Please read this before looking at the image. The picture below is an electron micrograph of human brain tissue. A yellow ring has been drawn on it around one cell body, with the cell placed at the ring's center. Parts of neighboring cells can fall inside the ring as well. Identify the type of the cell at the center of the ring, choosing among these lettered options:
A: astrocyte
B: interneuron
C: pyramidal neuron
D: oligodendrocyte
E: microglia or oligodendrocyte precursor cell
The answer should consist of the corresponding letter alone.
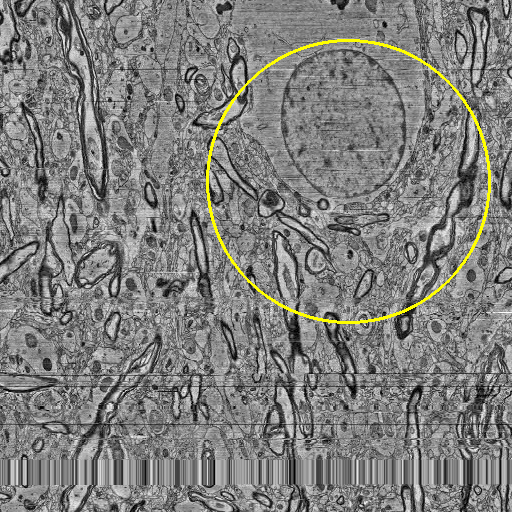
A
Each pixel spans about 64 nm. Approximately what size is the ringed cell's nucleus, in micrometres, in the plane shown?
In this plane, roughly 10 by 8 micrometres.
